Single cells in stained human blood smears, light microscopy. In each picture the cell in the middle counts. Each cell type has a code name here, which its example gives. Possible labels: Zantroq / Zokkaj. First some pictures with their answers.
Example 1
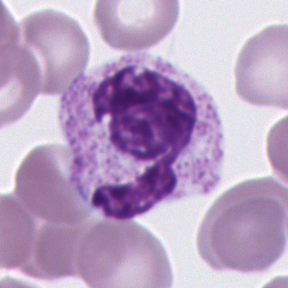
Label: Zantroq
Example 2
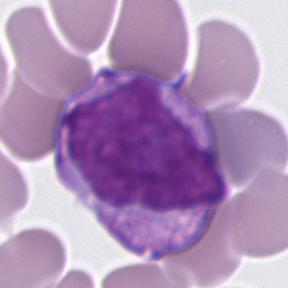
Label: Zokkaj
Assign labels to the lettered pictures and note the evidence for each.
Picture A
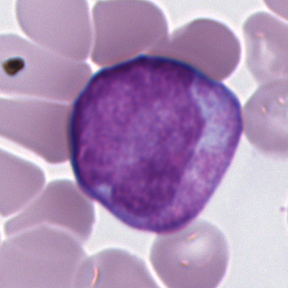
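Zokkaj. Reason: The nucleus fills most of the cell.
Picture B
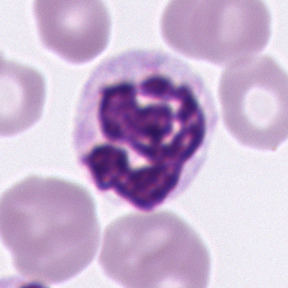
Zantroq. Reason: The nucleus is divided into several connected lobes curled into a loop.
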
